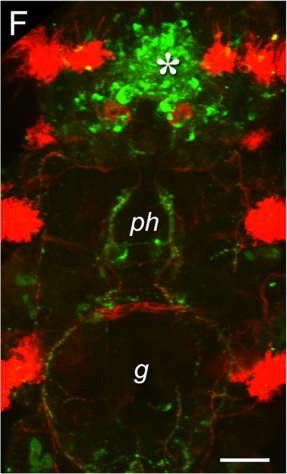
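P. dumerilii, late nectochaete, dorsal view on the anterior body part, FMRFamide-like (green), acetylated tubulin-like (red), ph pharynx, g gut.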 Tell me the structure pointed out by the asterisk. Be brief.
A: brain neuropil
